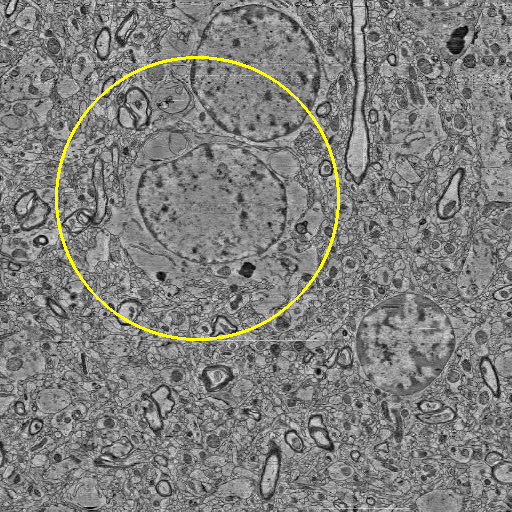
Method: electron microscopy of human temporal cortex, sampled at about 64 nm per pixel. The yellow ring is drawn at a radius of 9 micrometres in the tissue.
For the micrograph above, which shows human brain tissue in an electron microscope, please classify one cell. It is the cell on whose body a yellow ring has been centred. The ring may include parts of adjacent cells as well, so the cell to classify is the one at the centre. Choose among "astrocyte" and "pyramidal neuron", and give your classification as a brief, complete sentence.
I classify this cell as an astrocyte.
